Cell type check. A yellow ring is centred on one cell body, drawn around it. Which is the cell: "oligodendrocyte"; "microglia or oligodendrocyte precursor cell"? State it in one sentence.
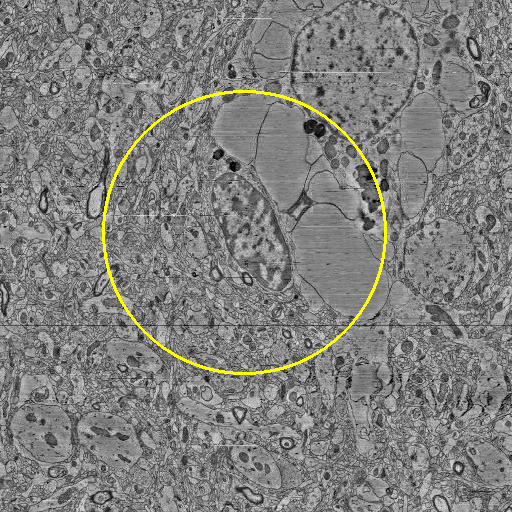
The cell body at the ring's centre belongs to a microglial cell or oligodendrocyte precursor cell.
